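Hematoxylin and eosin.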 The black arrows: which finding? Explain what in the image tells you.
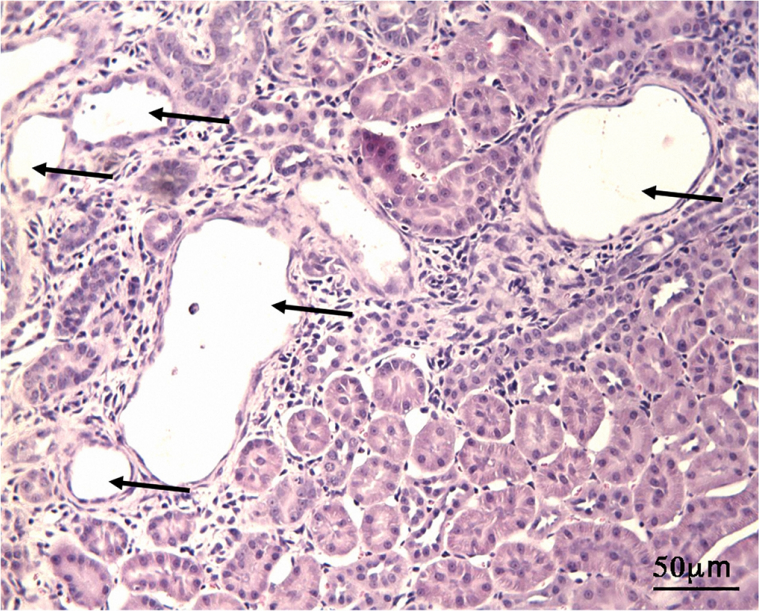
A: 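The arrows point to large, empty, round or irregular lumina. The lumina are lined by a thin, flattened epithelium. They are far wider than the neighbouring tubules with cuboidal lining.
Conclusion: dilated renal tubules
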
